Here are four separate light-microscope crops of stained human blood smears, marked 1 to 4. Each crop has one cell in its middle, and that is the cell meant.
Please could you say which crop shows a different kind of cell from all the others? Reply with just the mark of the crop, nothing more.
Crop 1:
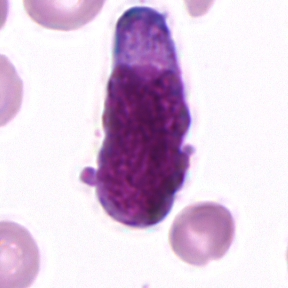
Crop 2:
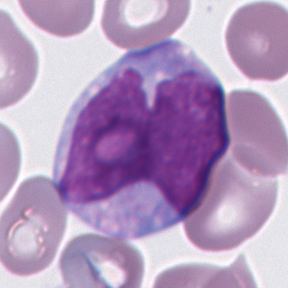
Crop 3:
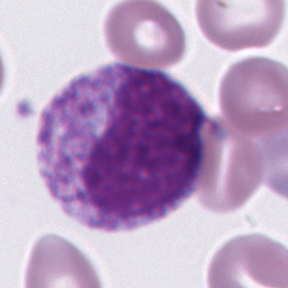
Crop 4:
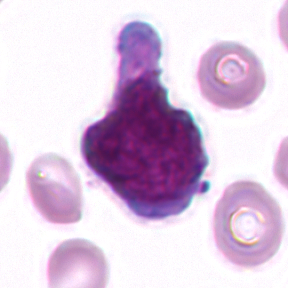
3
